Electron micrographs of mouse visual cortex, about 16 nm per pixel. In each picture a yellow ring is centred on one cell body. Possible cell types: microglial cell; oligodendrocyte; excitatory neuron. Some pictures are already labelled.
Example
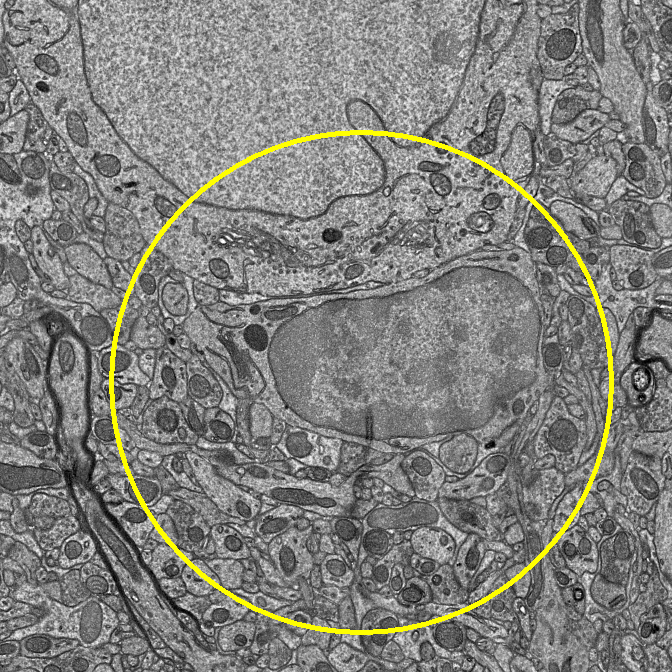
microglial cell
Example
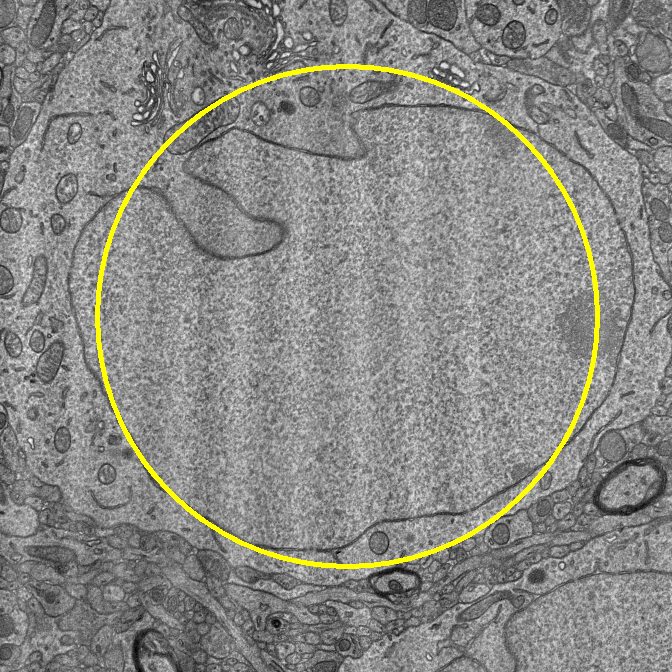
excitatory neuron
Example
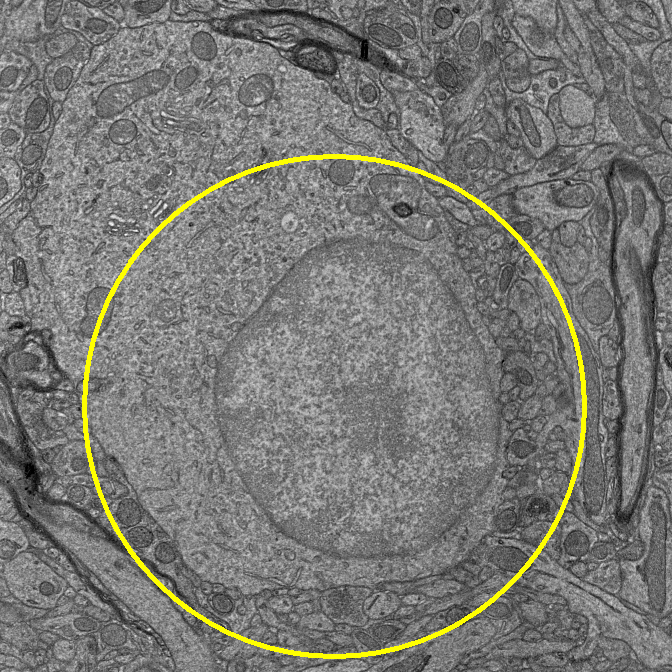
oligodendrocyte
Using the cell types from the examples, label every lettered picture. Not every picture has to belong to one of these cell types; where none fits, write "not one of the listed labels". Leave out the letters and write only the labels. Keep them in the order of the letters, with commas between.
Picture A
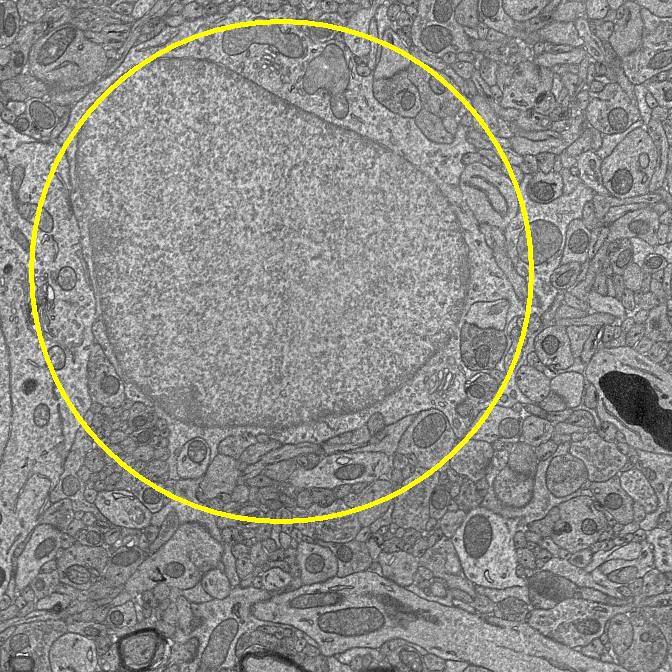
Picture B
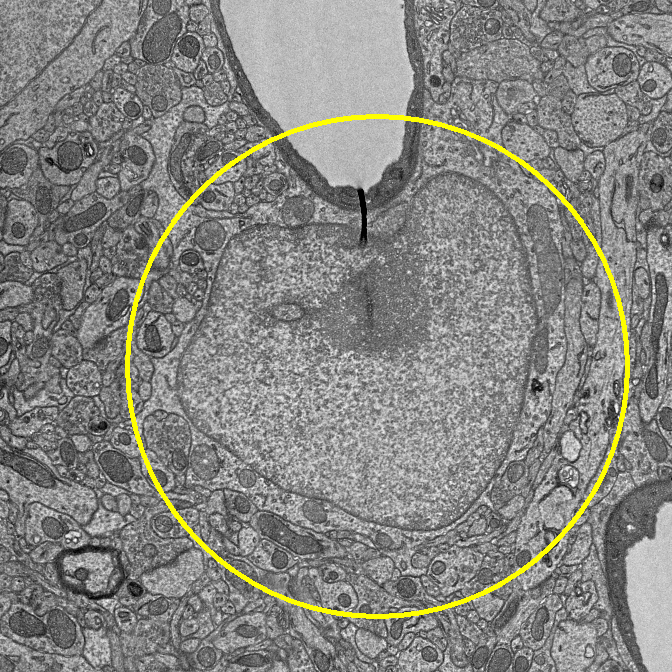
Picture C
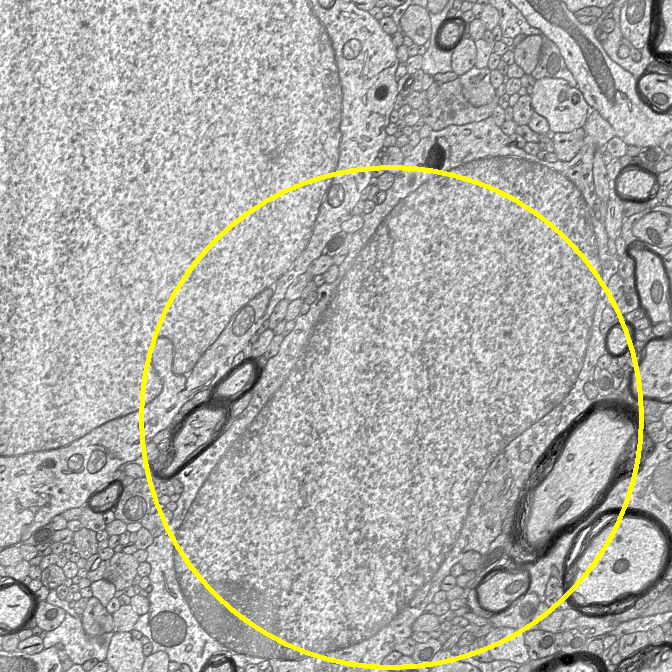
not one of the listed labels, not one of the listed labels, not one of the listed labels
